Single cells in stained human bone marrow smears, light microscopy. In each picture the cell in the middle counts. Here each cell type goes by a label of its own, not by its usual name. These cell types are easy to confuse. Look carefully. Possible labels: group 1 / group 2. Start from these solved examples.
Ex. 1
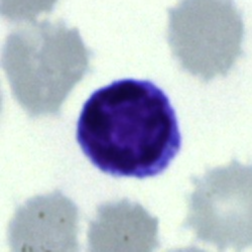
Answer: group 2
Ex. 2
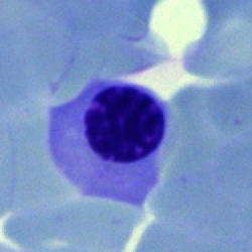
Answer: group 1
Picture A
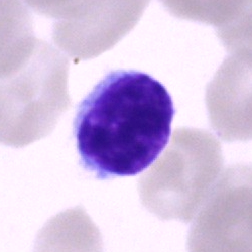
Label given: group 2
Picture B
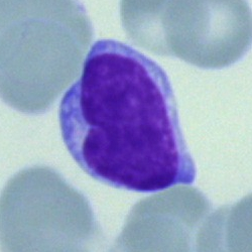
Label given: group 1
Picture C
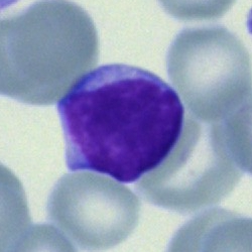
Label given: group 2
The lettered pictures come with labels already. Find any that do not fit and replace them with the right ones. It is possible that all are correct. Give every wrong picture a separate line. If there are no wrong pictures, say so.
B should be group 2, not group 1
